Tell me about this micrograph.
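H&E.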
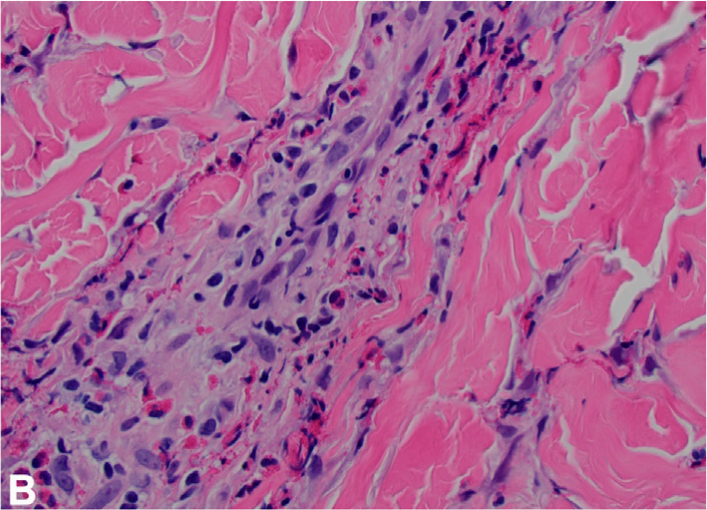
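At high magnification, a band of cells runs diagonally between thick pink collagen bundles, and bright red eosinophil granules are scattered outside the cells, a picture of eosinophil degranulation. The granules lie free in the stroma, lining the edges of the collagen bundles. Among them are elongated and oval nuclei with pale purple cytoplasm.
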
